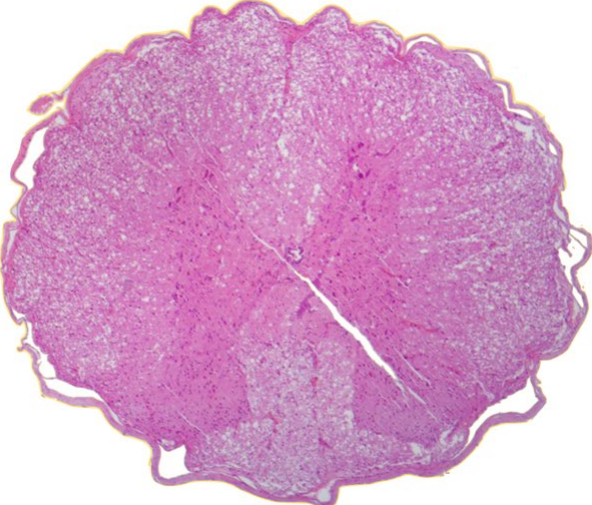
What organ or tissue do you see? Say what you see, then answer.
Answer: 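A round cross-section is wrapped in a thin membranous covering. Paler, vacuolated peripheral regions surround a central region that is denser, pinker and more cellular.
Hence: spinal cord.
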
